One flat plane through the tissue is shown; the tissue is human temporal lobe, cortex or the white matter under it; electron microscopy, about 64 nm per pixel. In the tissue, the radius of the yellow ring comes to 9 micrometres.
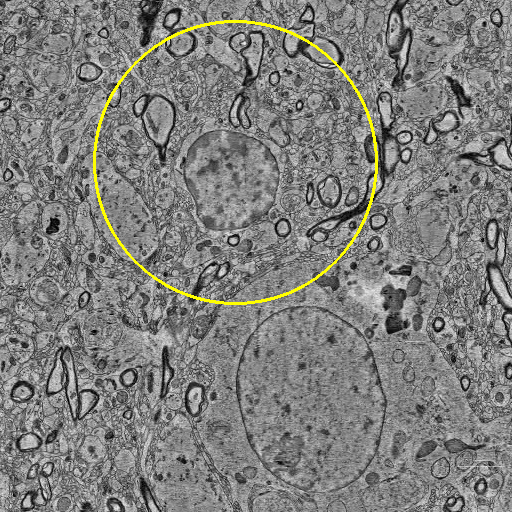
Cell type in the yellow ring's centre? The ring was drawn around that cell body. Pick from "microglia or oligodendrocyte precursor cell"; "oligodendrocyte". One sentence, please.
The ringed cell body is that of a microglial cell or oligodendrocyte precursor cell.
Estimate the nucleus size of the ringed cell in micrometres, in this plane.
In this plane the ringed cell's nucleus is roughly 6 micrometres across.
